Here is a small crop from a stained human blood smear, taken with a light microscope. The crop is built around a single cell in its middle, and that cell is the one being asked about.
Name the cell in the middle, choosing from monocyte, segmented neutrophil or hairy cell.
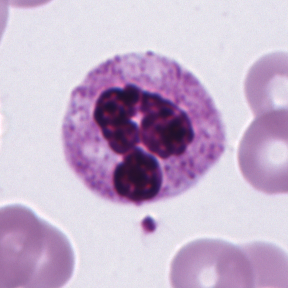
segmented neutrophil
